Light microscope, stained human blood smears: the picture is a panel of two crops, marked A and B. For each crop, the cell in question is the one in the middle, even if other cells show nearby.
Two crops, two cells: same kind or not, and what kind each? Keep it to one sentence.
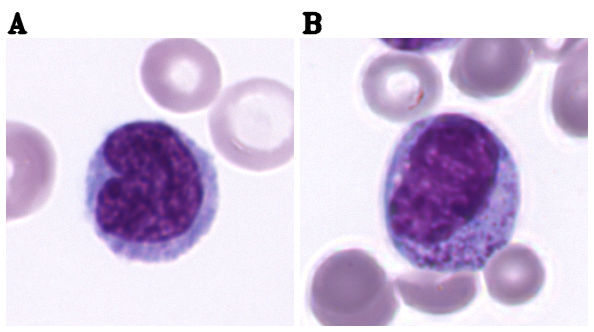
No, a monocyte is depicted by crop A, a metamyelocyte by crop B.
